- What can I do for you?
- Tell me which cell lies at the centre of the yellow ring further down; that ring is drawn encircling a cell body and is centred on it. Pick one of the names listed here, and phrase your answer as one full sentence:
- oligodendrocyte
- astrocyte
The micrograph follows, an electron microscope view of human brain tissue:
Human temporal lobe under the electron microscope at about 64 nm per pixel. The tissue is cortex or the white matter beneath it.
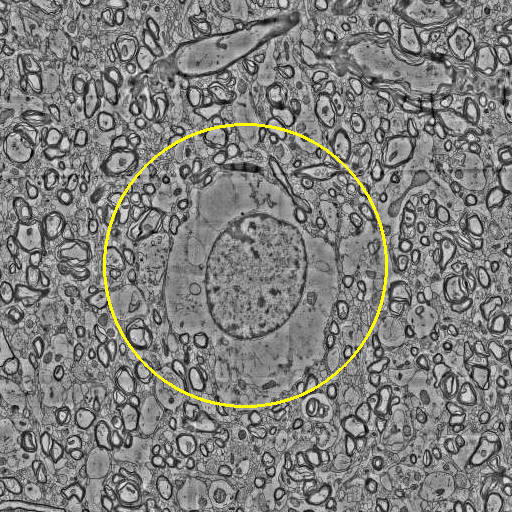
The cell whose body lies at the centre of the yellow ring is an astrocyte.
